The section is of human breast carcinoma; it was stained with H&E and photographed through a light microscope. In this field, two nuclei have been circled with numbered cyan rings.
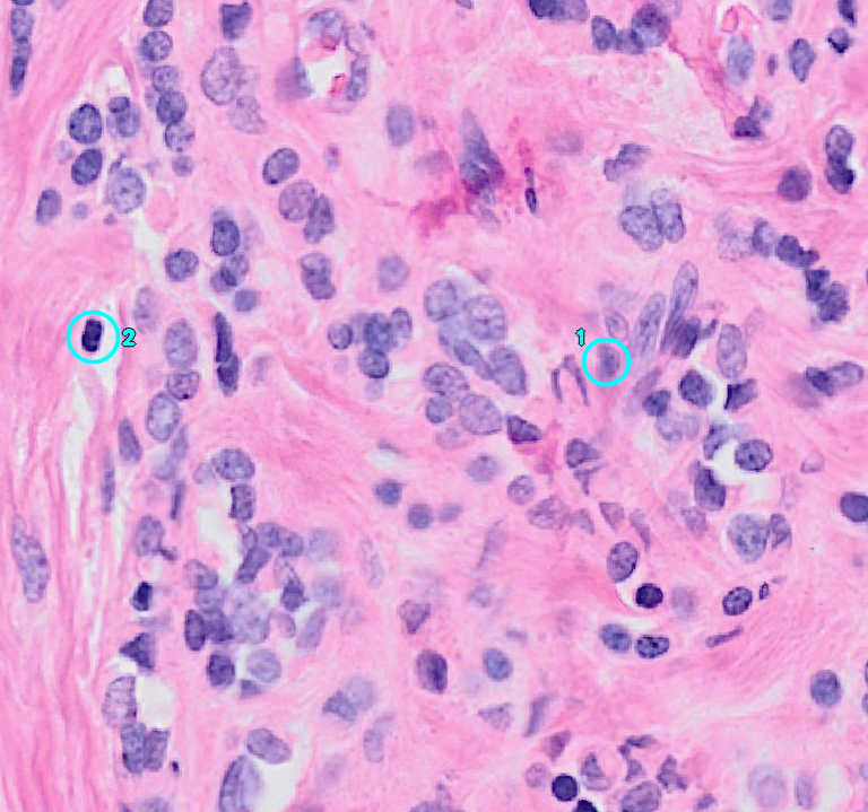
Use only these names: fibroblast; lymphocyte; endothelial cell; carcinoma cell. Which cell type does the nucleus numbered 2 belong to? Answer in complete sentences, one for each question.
Nucleus 2 in this section belongs to a lymphocyte.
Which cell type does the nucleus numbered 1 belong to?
At number 1, the marked cell is an endothelial cell.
